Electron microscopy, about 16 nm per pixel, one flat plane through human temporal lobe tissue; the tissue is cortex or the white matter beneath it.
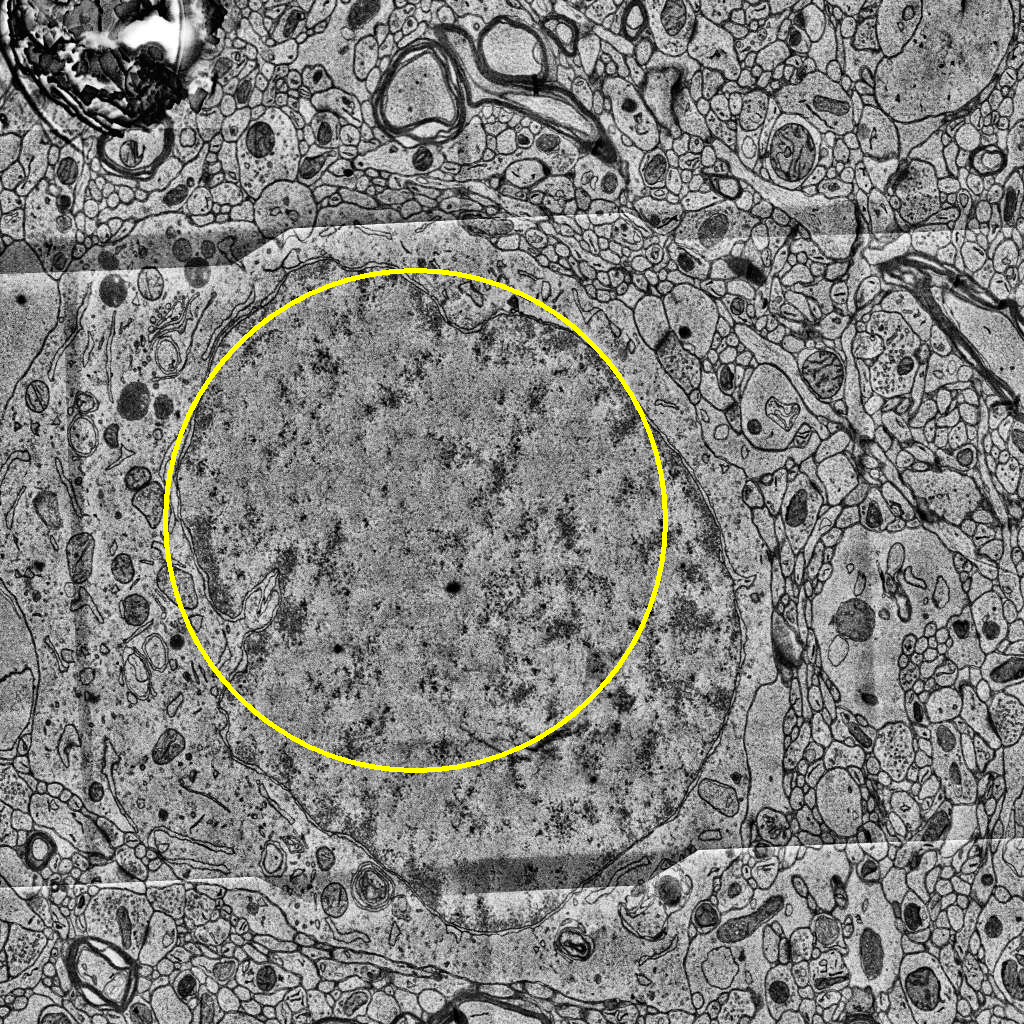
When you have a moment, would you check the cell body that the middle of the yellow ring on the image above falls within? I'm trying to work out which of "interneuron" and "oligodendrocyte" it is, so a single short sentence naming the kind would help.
This cell body belongs to an interneuron.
